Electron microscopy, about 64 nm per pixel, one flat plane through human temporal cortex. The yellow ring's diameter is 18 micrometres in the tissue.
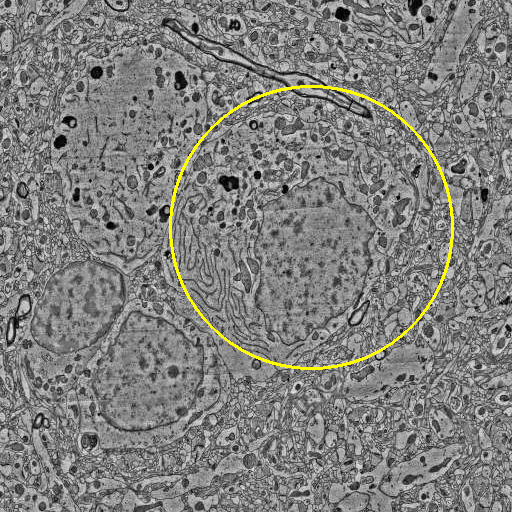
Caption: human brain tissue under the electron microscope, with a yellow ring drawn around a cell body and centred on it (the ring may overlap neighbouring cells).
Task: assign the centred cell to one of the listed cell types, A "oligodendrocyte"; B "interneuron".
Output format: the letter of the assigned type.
B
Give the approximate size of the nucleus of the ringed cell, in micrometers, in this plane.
The nucleus appears roughly 10 by 8 micrometres in this plane.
